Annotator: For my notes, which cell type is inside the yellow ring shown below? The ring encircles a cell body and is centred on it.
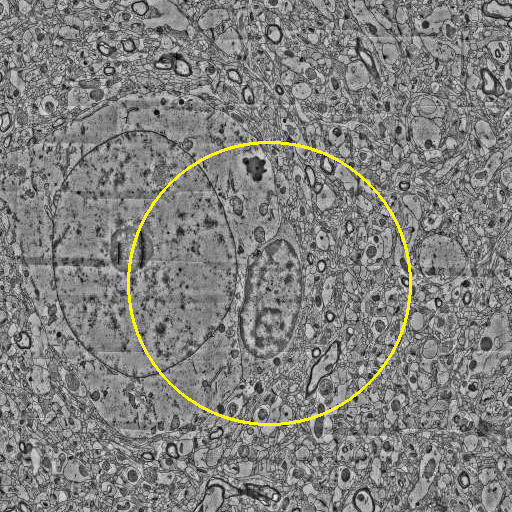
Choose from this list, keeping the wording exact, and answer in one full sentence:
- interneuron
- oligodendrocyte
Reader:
At the centre of the yellow ring there is an oligodendrocyte, as shown in the picture.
